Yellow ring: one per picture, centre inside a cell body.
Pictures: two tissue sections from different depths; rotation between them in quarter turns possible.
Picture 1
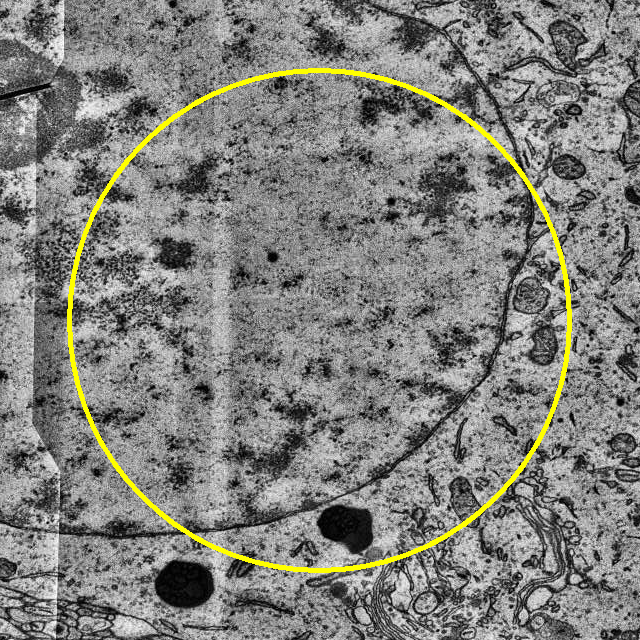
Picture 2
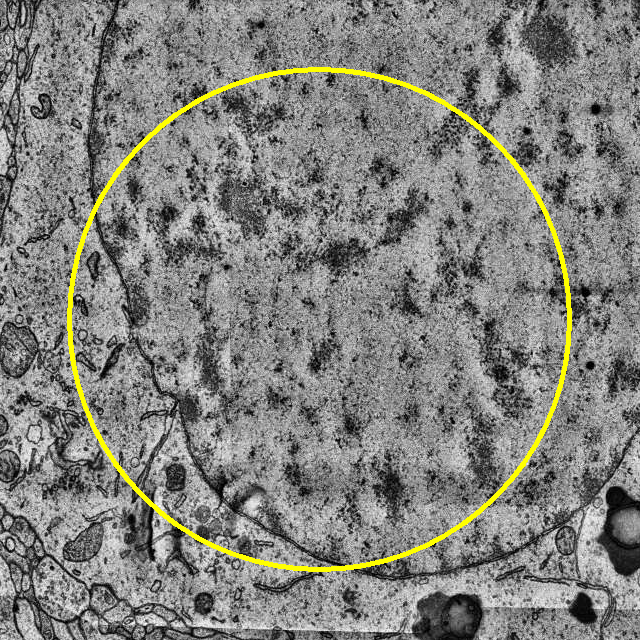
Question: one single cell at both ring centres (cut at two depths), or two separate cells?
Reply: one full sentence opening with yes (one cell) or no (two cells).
Yes, each ring singles out the same cell.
